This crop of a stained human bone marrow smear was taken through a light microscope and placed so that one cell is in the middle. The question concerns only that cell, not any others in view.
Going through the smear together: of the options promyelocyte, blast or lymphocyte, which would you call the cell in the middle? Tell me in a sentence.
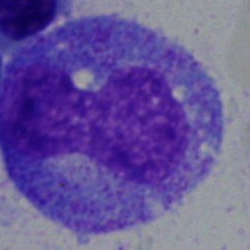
The cell in the middle of the field of view is a promyelocyte.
